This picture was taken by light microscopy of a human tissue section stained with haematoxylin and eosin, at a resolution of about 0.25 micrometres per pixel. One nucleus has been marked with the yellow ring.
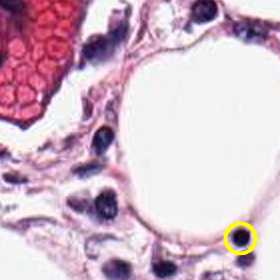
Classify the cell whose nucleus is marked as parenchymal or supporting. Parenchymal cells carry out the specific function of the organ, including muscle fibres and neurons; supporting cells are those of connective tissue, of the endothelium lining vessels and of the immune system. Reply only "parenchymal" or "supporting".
supporting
